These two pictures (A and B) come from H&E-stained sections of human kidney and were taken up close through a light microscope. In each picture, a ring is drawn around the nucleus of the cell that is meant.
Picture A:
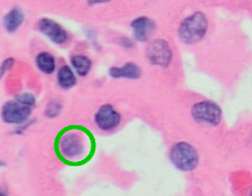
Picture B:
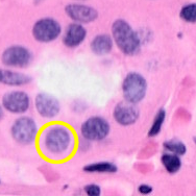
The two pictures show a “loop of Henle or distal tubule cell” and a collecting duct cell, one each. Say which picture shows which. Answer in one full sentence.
It is picture A that shows a “loop of Henle or distal tubule cell”, and picture B that shows a collecting duct cell.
